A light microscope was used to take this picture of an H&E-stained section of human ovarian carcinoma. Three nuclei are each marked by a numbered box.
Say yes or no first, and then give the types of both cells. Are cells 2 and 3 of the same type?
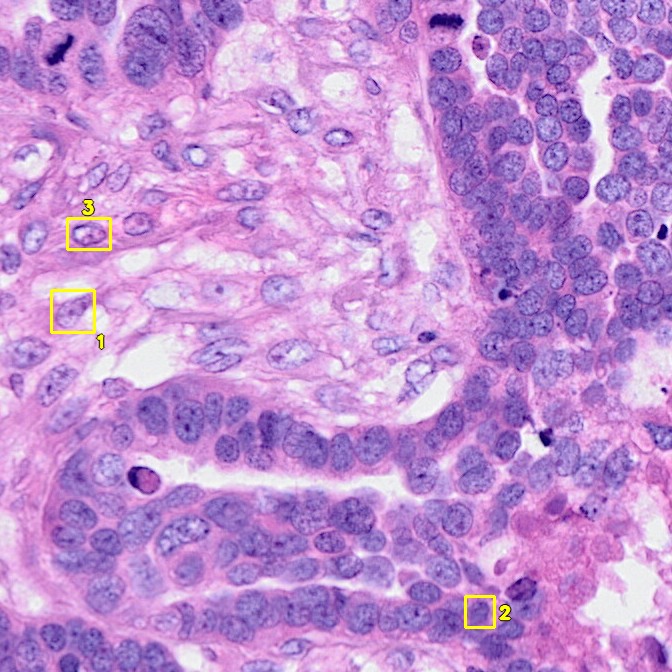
No; cell 2 is a carcinoma cell, and cell 3 is a fibroblast.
